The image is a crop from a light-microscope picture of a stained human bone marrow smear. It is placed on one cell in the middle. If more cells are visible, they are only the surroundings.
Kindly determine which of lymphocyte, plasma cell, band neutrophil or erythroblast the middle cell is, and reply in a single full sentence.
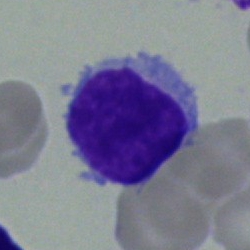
In the central position of this crop, the cell is a lymphocyte.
